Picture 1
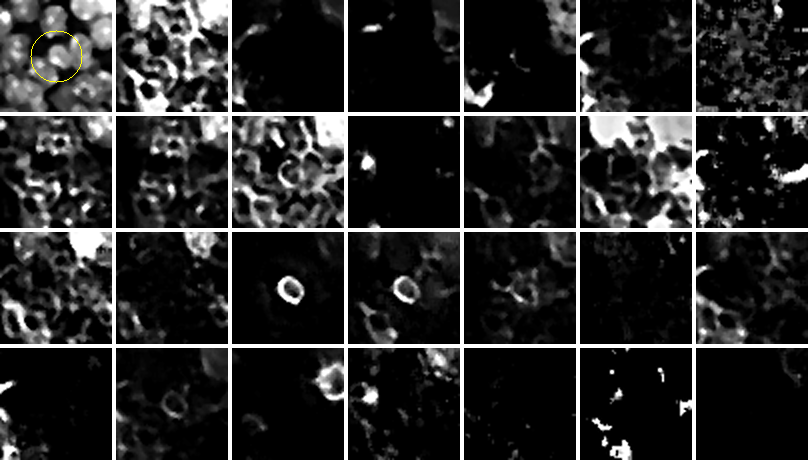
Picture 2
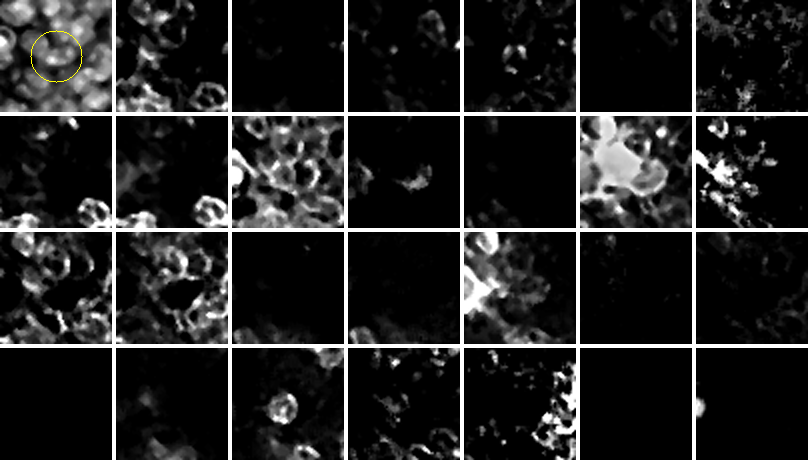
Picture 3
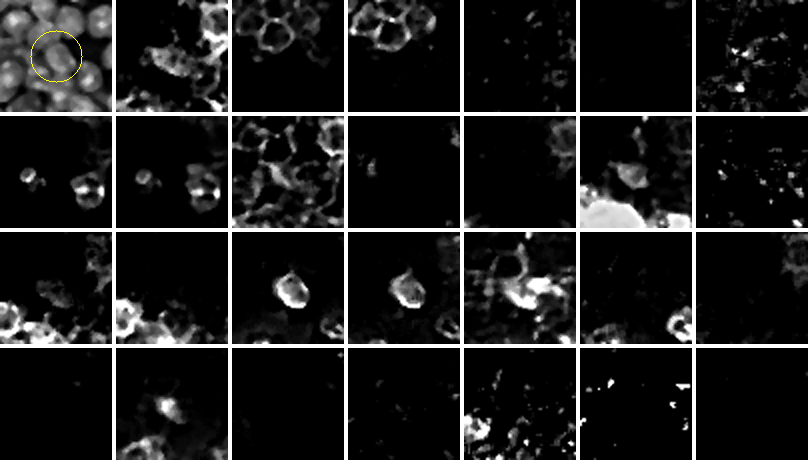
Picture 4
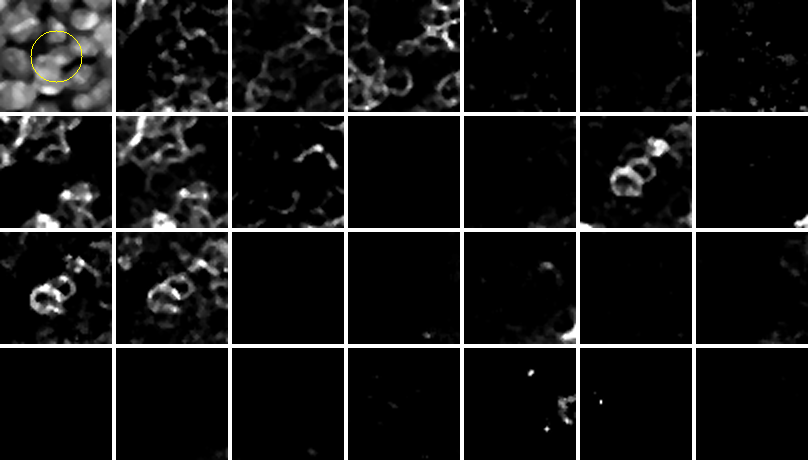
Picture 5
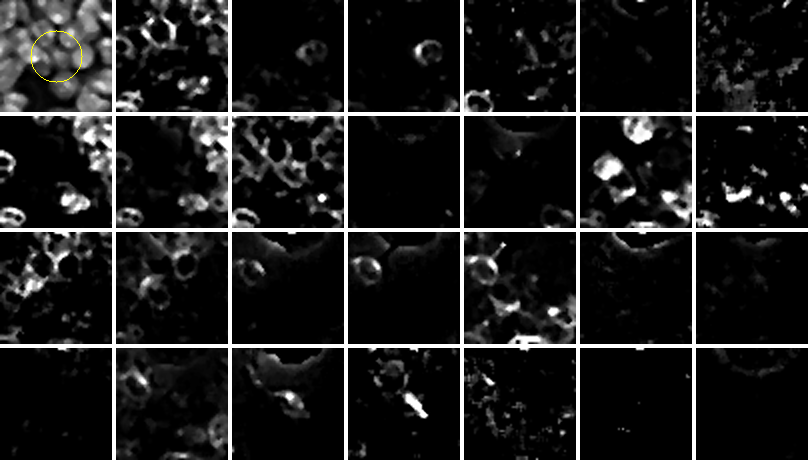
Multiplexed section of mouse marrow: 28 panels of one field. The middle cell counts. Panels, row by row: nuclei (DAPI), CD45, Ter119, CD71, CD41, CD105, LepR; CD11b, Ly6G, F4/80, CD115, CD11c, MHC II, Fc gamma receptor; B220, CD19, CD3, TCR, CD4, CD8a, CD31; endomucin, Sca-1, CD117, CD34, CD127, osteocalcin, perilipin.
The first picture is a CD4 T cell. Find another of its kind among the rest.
Picture 3.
